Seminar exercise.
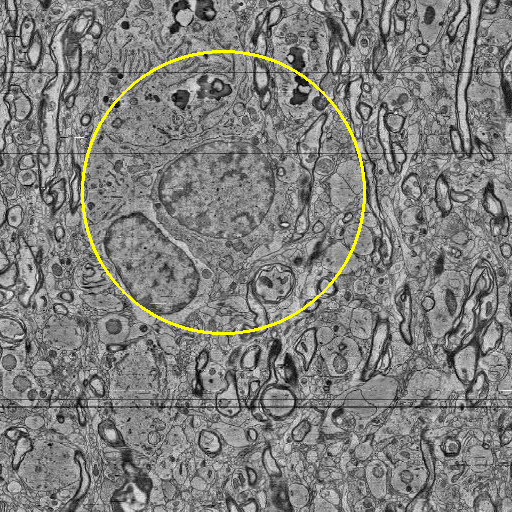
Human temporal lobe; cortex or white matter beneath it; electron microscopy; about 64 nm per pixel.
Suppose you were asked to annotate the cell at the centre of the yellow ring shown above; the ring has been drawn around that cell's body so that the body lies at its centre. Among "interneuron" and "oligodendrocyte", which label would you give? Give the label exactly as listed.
oligodendrocyte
